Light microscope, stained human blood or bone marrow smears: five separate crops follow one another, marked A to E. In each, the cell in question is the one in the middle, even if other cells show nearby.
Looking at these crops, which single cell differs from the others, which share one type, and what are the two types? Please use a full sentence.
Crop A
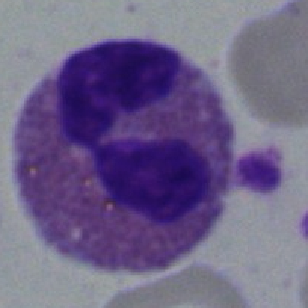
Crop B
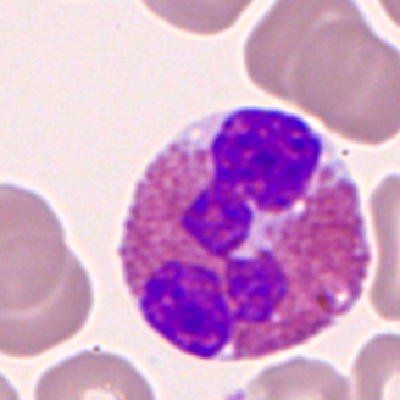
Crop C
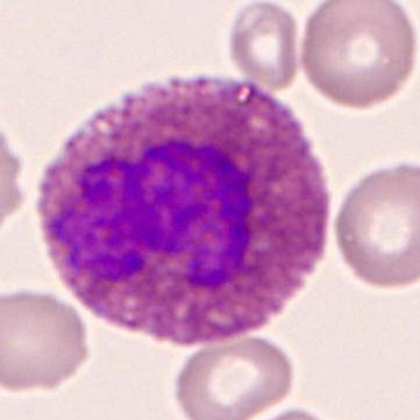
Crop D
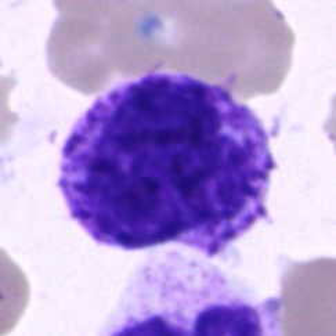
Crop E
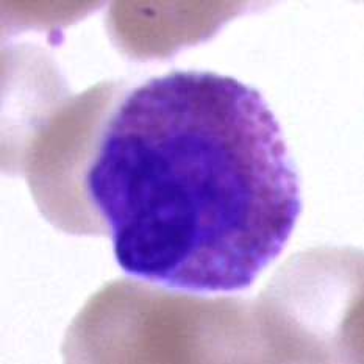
Crop D breaks the pattern as a basophil; the other crops all contain eosinophils.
